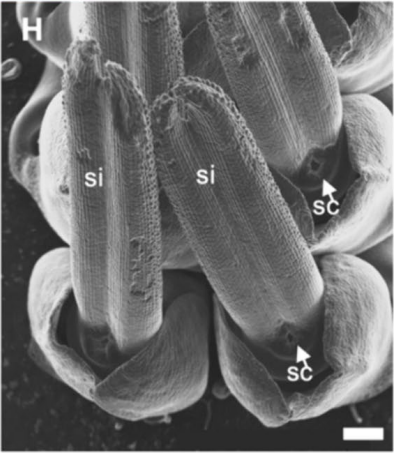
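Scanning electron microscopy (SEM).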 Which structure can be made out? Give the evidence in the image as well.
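Several paired units, each with enclosing bract-like scales at the base. Long cylindrical organs emerge upward from each unit. That points to this answer: ear spikelets.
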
